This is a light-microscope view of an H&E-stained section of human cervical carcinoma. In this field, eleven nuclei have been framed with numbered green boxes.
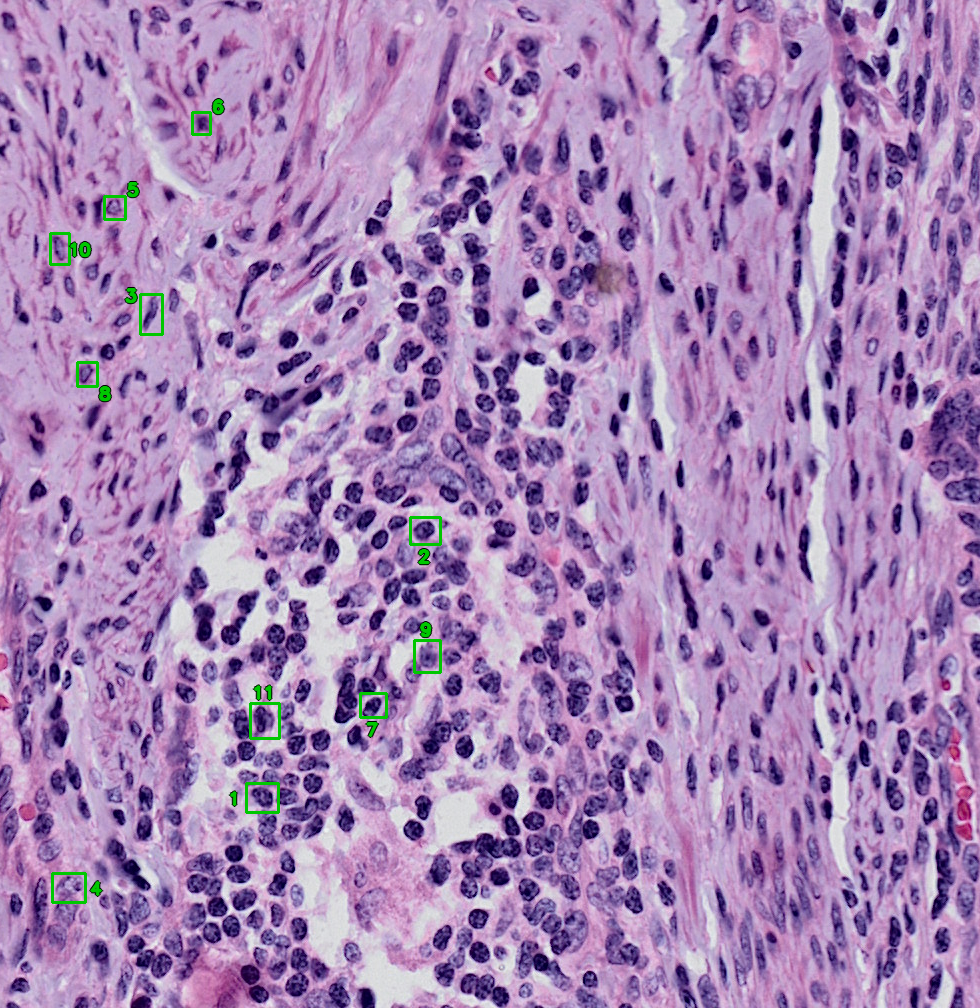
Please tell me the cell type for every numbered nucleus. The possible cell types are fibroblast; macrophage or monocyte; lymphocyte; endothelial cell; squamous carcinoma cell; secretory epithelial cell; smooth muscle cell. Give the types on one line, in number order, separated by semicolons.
lymphocyte; lymphocyte; fibroblast; endothelial cell; smooth muscle cell; smooth muscle cell; lymphocyte; smooth muscle cell; lymphocyte; smooth muscle cell; lymphocyte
